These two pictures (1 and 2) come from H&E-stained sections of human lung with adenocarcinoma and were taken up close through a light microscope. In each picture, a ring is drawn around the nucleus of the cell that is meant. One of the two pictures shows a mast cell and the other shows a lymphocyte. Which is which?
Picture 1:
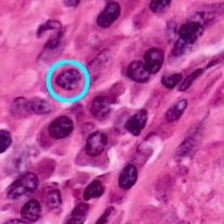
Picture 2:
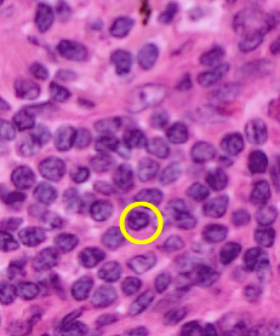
1: mast cell
2: lymphocyte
